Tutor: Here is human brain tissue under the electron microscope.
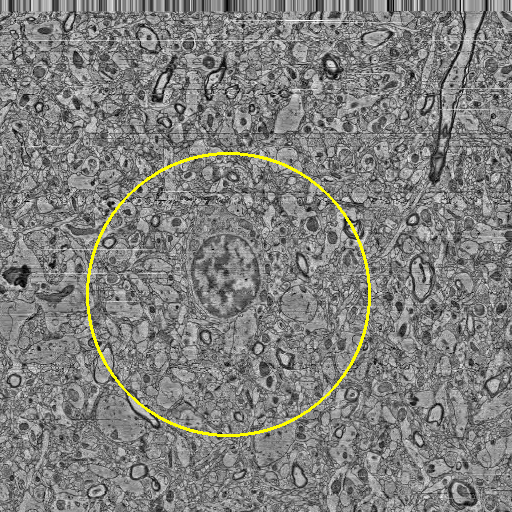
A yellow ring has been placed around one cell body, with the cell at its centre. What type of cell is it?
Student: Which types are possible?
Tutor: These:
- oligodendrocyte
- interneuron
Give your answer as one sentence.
What the ring picks out here is an oligodendrocyte.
